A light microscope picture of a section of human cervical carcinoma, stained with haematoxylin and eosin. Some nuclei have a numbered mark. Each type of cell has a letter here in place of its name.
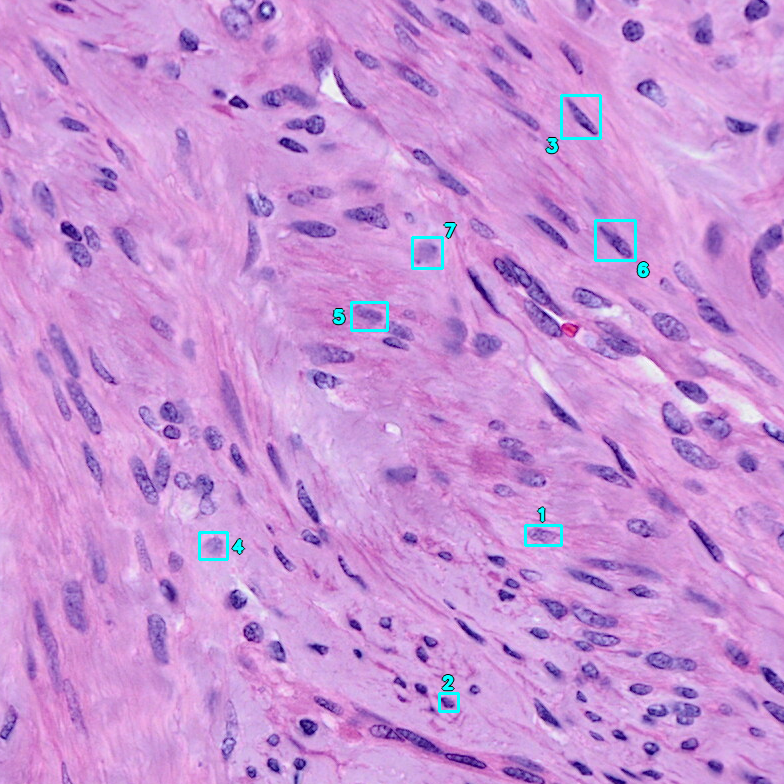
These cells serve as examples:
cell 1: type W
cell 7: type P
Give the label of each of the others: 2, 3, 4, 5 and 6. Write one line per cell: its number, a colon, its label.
2: type W
3: type P
4: type P
5: type W
6: type P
